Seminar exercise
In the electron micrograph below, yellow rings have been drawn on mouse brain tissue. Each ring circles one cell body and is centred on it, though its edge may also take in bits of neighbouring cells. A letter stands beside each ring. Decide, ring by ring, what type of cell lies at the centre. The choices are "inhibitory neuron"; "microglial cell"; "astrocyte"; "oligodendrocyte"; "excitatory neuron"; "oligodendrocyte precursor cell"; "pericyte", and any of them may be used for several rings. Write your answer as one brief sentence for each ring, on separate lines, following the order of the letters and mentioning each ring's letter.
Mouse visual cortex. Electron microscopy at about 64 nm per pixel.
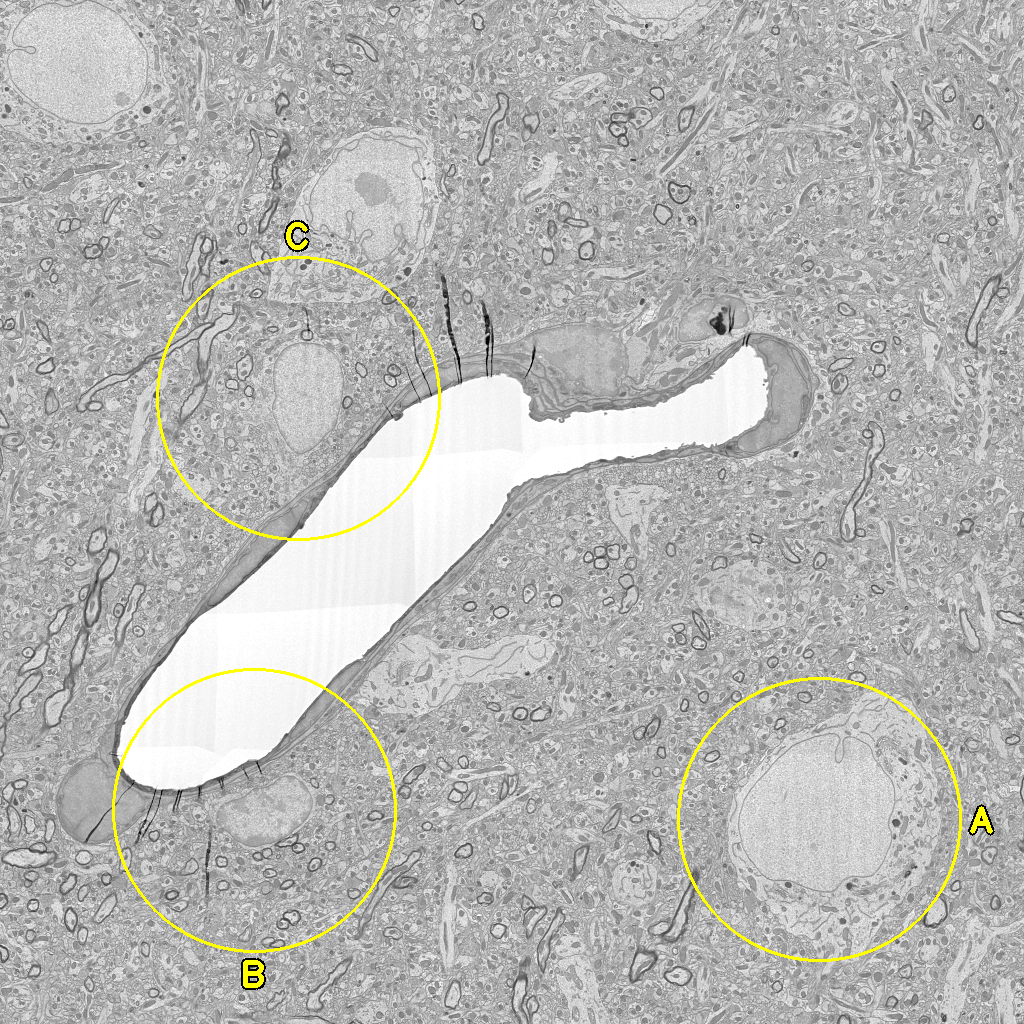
The cell in the middle of ring A is an excitatory neuron.
The cell in the middle of ring B is an oligodendrocyte.
The cell in the middle of ring C is an astrocyte.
